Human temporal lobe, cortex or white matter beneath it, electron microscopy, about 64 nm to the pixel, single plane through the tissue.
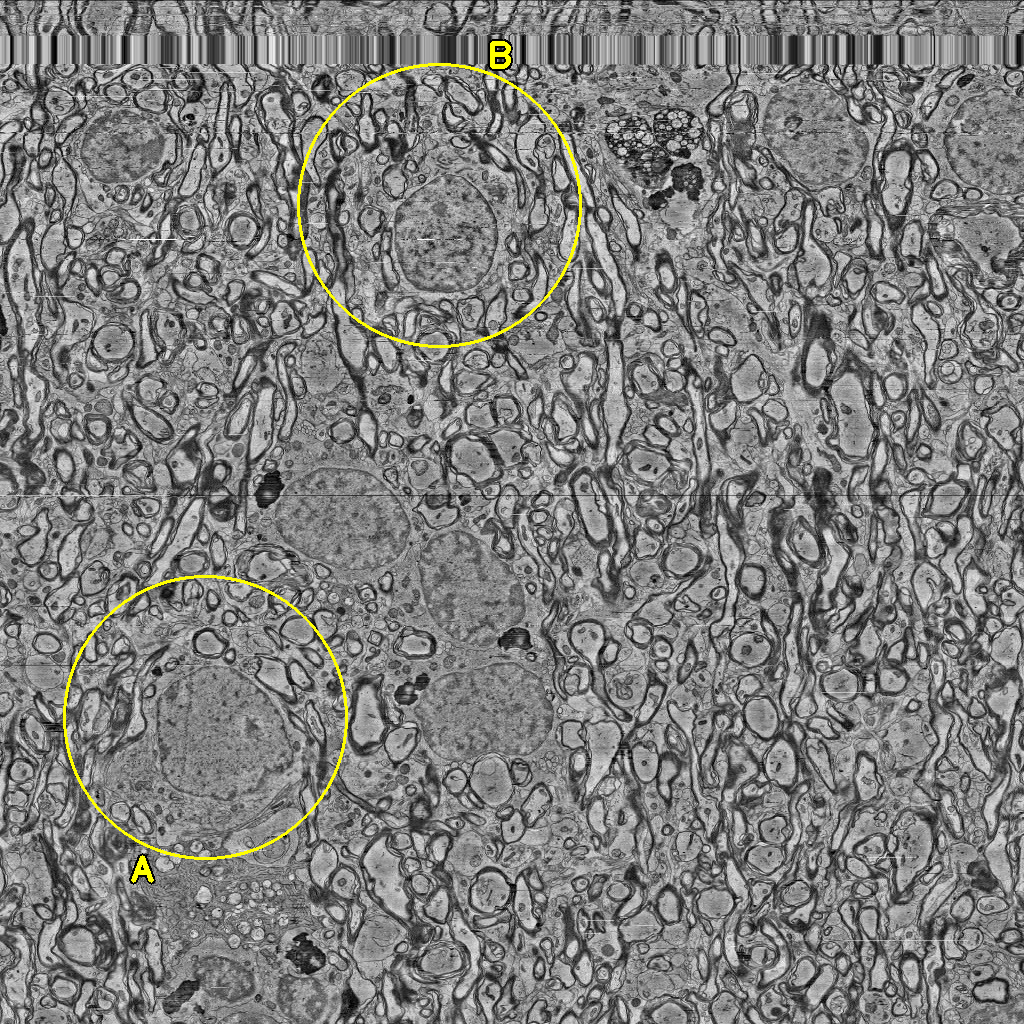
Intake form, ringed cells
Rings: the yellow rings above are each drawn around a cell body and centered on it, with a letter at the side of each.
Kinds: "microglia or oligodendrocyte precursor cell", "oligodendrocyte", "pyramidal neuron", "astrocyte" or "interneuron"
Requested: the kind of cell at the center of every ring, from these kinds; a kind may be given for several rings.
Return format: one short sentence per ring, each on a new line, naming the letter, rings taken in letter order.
In the center of ring A there is an astrocyte.
In the center of ring B there is a microglial cell or oligodendrocyte precursor cell.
